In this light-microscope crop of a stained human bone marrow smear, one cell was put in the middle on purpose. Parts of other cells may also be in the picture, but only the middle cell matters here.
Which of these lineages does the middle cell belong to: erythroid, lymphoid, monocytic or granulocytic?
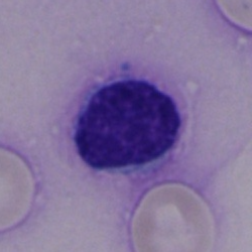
lymphoid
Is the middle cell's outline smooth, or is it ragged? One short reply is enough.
Its surface contour is regular and smooth, without any protrusions.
